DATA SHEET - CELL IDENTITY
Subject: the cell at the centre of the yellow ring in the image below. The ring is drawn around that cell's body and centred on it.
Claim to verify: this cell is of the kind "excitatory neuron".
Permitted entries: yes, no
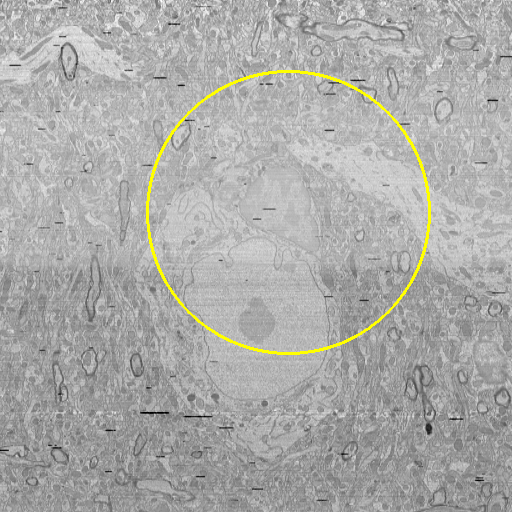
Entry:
no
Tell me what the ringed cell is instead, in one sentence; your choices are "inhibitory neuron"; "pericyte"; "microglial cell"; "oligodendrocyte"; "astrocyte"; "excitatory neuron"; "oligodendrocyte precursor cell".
Instead, the ring in this picture marks a microglial cell.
